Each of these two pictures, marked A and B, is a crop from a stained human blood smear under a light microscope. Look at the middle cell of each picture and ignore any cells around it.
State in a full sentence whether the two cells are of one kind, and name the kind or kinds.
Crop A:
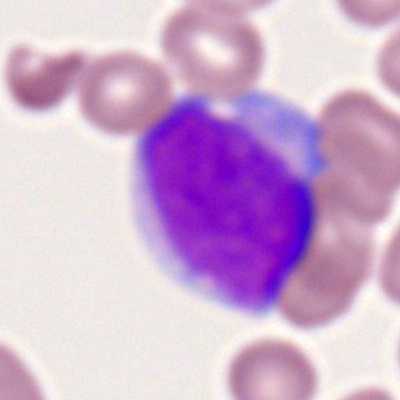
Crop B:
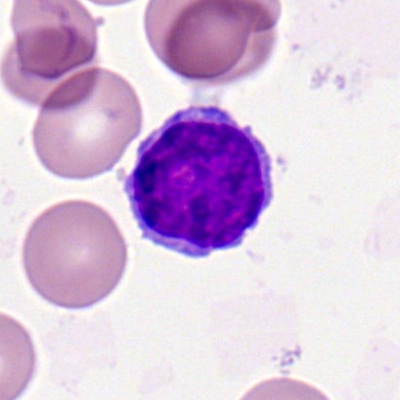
No, in fact crop A shows a myeloblast, and crop B shows a lymphocyte.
